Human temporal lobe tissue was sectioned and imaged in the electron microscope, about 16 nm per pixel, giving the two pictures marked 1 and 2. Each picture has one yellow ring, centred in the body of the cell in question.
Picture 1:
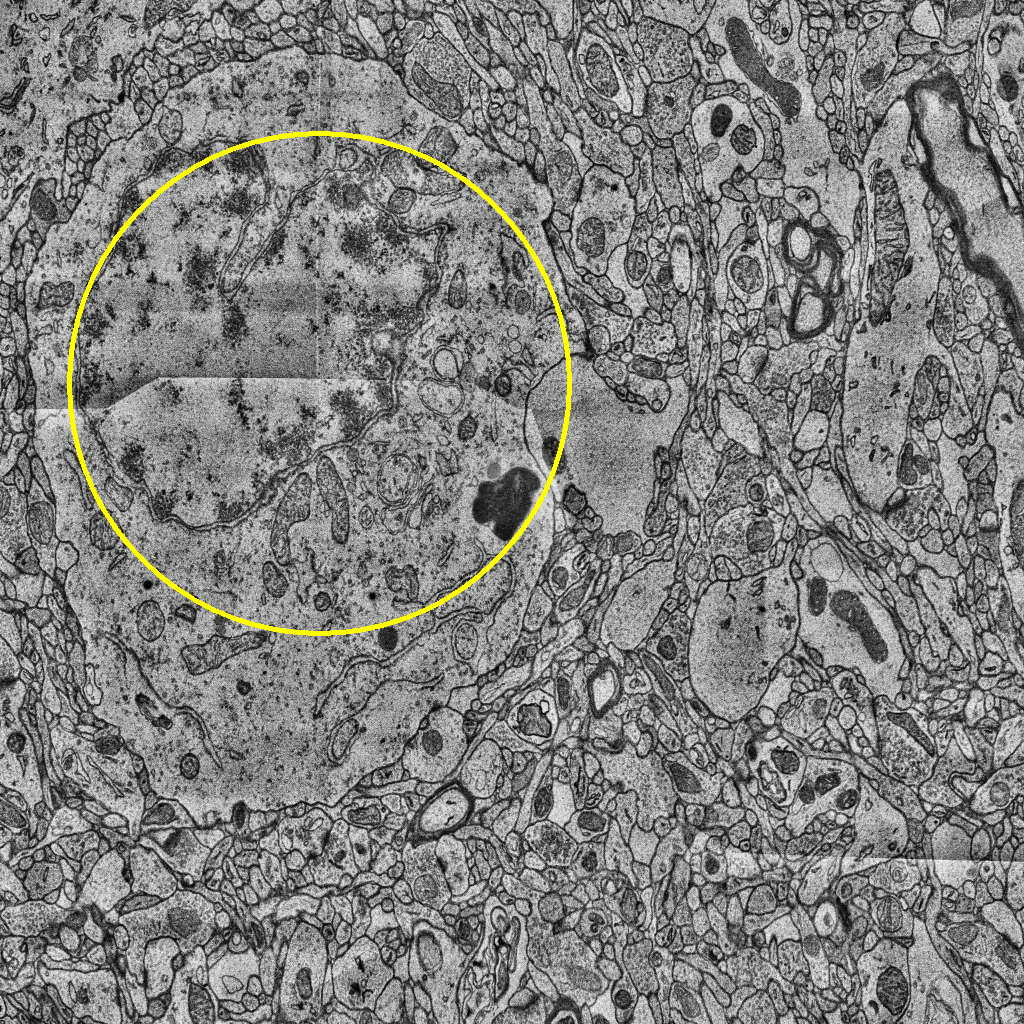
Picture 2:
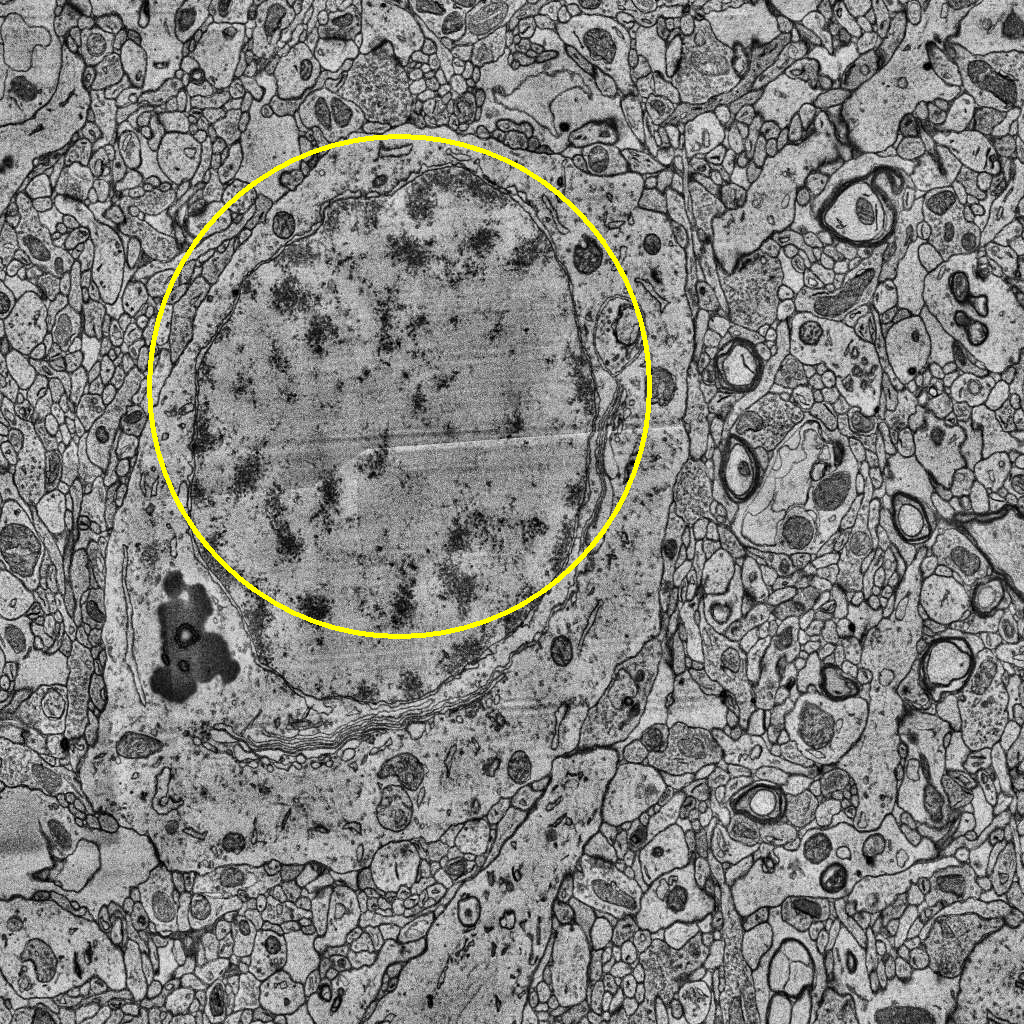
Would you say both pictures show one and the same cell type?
Yes, the two pictures both show interneurons.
